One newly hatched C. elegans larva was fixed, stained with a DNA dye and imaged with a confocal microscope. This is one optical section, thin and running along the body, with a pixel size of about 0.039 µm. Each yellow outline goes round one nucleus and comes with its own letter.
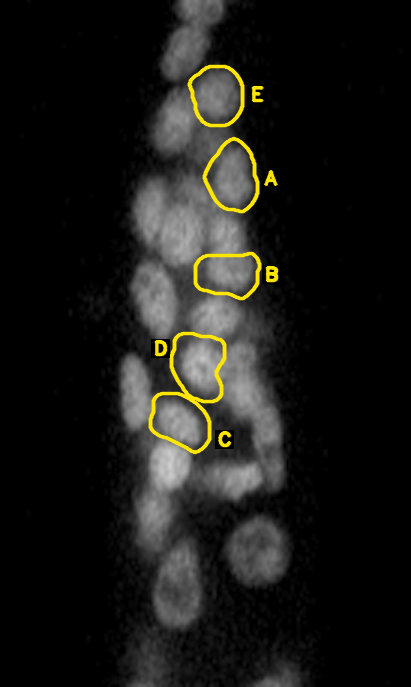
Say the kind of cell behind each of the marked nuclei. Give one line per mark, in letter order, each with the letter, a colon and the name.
A: body wall muscle cell
B: enteric muscle cell
C: rectal epithelial cell
D: rectal epithelial cell
E: neuron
